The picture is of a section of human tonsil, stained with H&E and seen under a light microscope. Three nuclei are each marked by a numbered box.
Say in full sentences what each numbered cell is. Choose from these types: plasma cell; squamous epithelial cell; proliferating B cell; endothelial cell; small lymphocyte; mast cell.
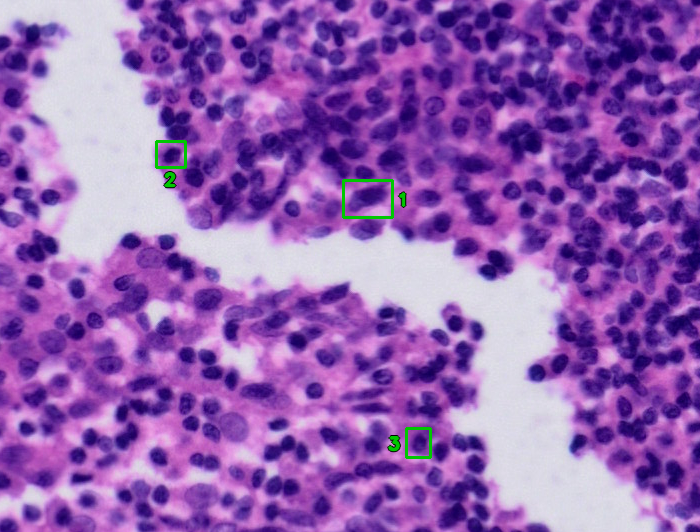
Cell 1 is a squamous epithelial cell. Cells 2 and 3 are plasma cells.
